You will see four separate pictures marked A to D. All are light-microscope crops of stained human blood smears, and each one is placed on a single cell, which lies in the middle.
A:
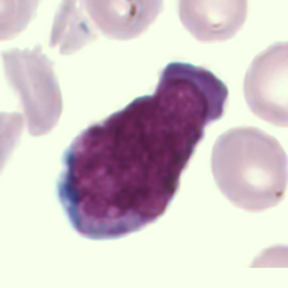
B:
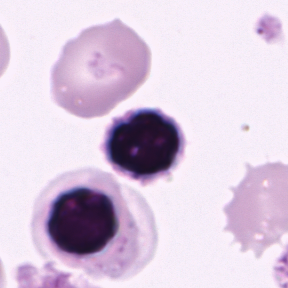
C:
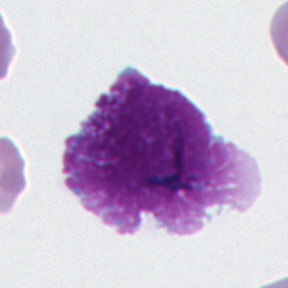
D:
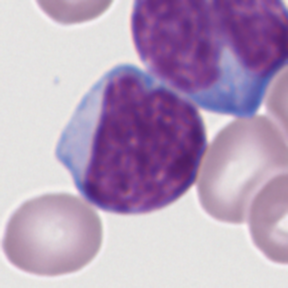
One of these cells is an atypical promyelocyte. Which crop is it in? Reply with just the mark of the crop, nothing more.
A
